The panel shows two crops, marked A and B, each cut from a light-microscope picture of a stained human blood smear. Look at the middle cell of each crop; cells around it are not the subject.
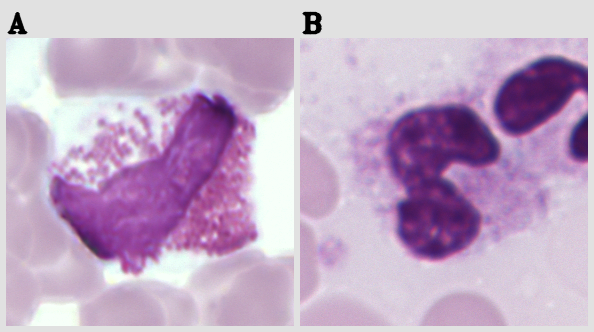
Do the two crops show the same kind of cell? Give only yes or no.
no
